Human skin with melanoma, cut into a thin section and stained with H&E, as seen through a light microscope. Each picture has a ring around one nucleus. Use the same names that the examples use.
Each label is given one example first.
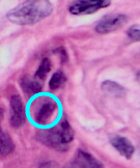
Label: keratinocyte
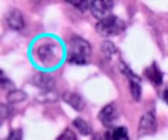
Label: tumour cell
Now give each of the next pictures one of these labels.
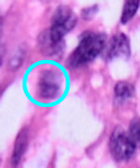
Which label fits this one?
tumour cell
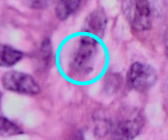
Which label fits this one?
tumour cell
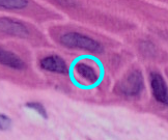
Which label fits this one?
keratinocyte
